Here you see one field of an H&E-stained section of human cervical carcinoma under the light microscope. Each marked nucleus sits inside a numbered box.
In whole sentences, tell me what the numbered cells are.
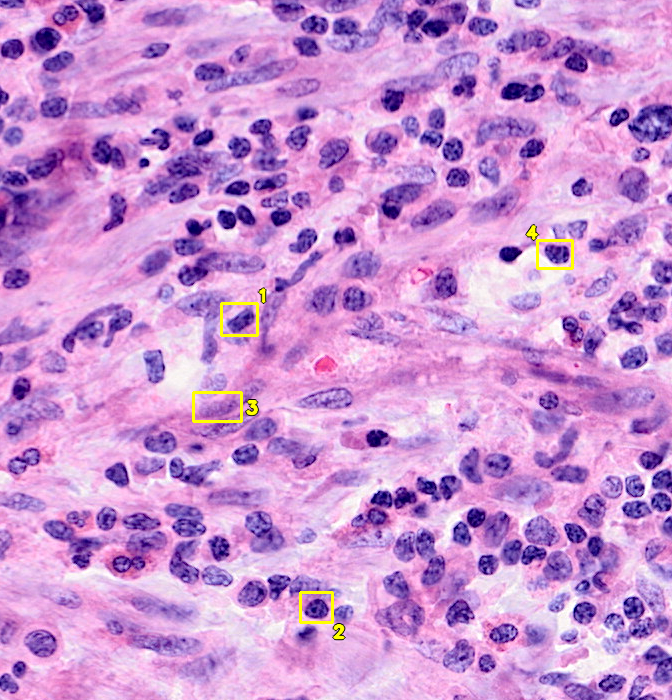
Cell 1 is a lymphocyte, cell 2 is a lymphocyte, cell 3 is an endothelial cell and cell 4 is a lymphocyte.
